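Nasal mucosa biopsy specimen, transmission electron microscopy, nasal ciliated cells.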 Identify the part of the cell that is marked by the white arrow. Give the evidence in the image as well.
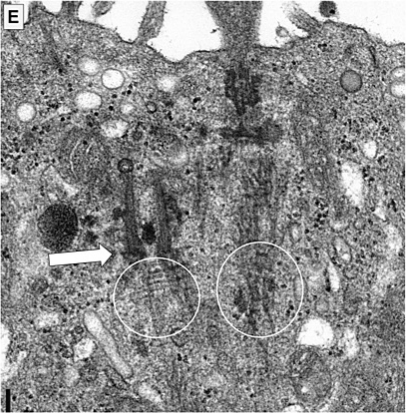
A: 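The arrow points to a short dense cylindrical body within the cytoplasm. The body lies deep in the cell, below the apical surface. That points to this answer: basal bodies.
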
